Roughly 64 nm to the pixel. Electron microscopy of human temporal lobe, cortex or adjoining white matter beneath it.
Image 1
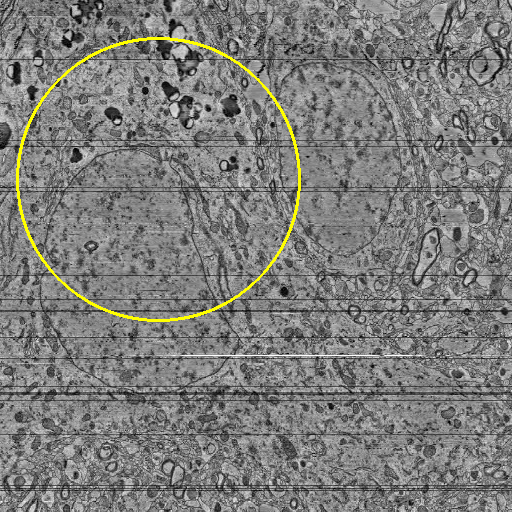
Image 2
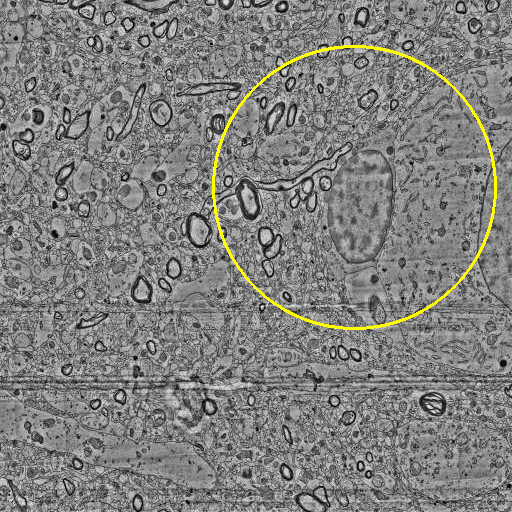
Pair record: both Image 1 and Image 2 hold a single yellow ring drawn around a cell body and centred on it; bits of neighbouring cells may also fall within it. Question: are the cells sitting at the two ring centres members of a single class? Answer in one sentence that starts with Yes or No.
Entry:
No, the ring-centre cells in Image 1 and Image 2 come from two classes.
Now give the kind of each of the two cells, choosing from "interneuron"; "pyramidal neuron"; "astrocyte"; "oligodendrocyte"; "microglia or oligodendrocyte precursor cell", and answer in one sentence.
The cell in the first picture is a pyramidal neuron, and the cell in the second is an oligodendrocyte.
